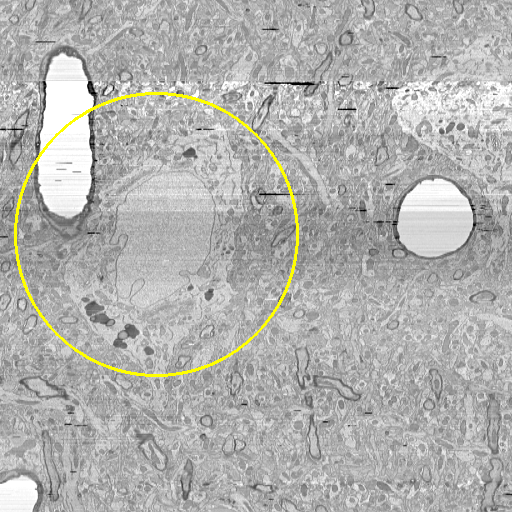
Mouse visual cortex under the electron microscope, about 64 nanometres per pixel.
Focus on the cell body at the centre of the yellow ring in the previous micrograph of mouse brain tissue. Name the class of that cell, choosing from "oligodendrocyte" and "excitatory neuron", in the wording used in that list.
excitatory neuron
